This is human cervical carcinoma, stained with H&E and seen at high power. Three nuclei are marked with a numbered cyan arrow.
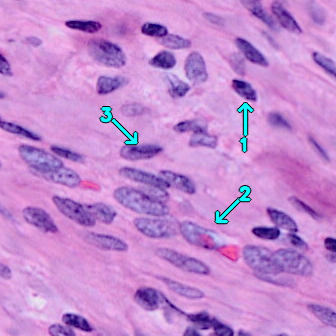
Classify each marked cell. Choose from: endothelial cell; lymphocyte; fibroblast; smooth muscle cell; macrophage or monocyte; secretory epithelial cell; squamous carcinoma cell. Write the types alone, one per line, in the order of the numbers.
lymphocyte
endothelial cell
fibroblast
